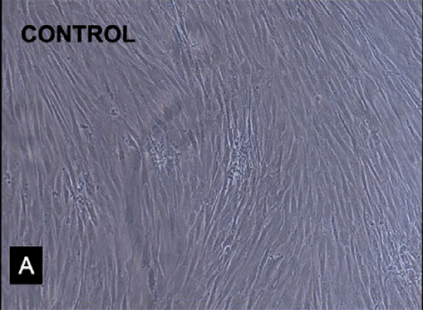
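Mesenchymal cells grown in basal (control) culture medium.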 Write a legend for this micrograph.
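The cells are long and spindle-shaped, with tapering ends, giving a fibroblastoid appearance. They lie closely packed side by side and are aligned in parallel streams that sweep across the field.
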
